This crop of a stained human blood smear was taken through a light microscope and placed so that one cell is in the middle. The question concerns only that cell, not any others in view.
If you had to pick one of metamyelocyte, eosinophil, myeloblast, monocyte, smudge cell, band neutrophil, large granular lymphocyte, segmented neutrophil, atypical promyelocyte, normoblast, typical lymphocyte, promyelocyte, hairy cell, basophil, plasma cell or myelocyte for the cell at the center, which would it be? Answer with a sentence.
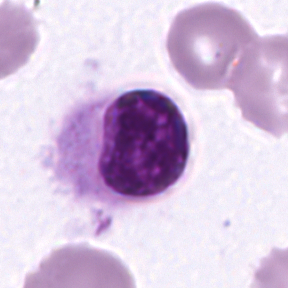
Classification of the middle cell gives a plasma cell.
